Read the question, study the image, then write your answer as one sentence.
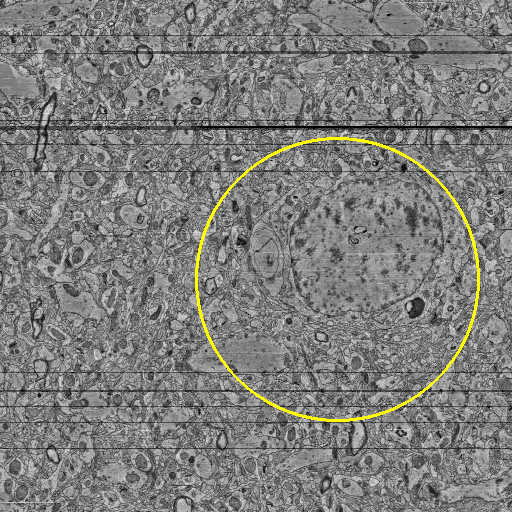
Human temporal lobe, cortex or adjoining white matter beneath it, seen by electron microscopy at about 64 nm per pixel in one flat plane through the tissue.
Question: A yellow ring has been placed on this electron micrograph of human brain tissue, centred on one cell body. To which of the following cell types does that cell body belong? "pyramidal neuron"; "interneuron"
That cell body belongs to an interneuron.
